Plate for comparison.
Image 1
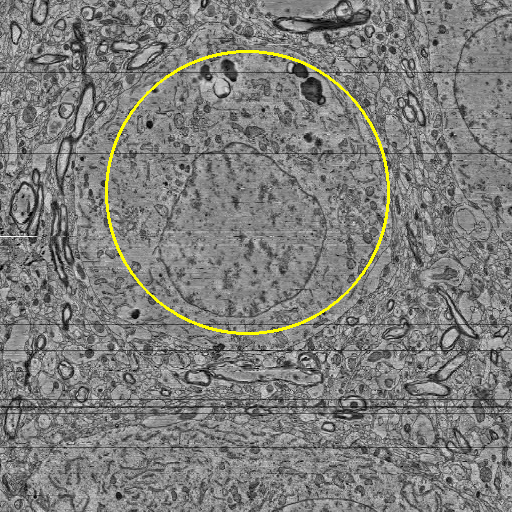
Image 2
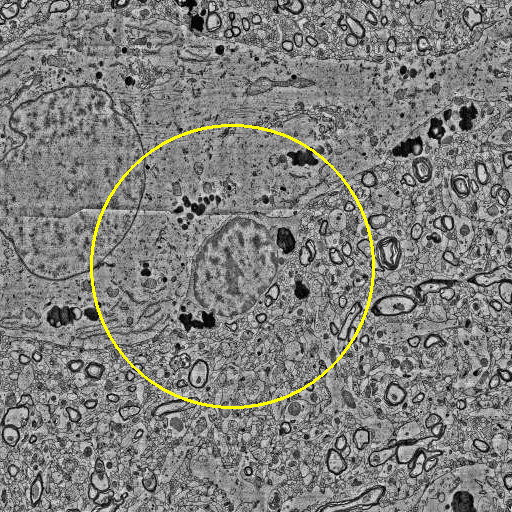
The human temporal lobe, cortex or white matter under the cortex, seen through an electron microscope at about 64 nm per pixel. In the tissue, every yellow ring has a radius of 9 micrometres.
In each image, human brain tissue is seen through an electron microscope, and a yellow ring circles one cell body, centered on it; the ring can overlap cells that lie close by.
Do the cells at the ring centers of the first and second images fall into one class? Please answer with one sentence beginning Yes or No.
No, the first and second images show two classes of cell at the ring centers.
